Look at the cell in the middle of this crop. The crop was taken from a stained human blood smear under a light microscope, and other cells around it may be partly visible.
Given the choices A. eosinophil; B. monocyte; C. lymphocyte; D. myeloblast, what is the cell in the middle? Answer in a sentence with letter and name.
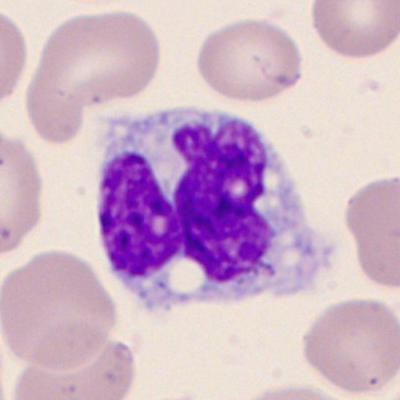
The right choice is option B: the cell in the middle is a monocyte.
